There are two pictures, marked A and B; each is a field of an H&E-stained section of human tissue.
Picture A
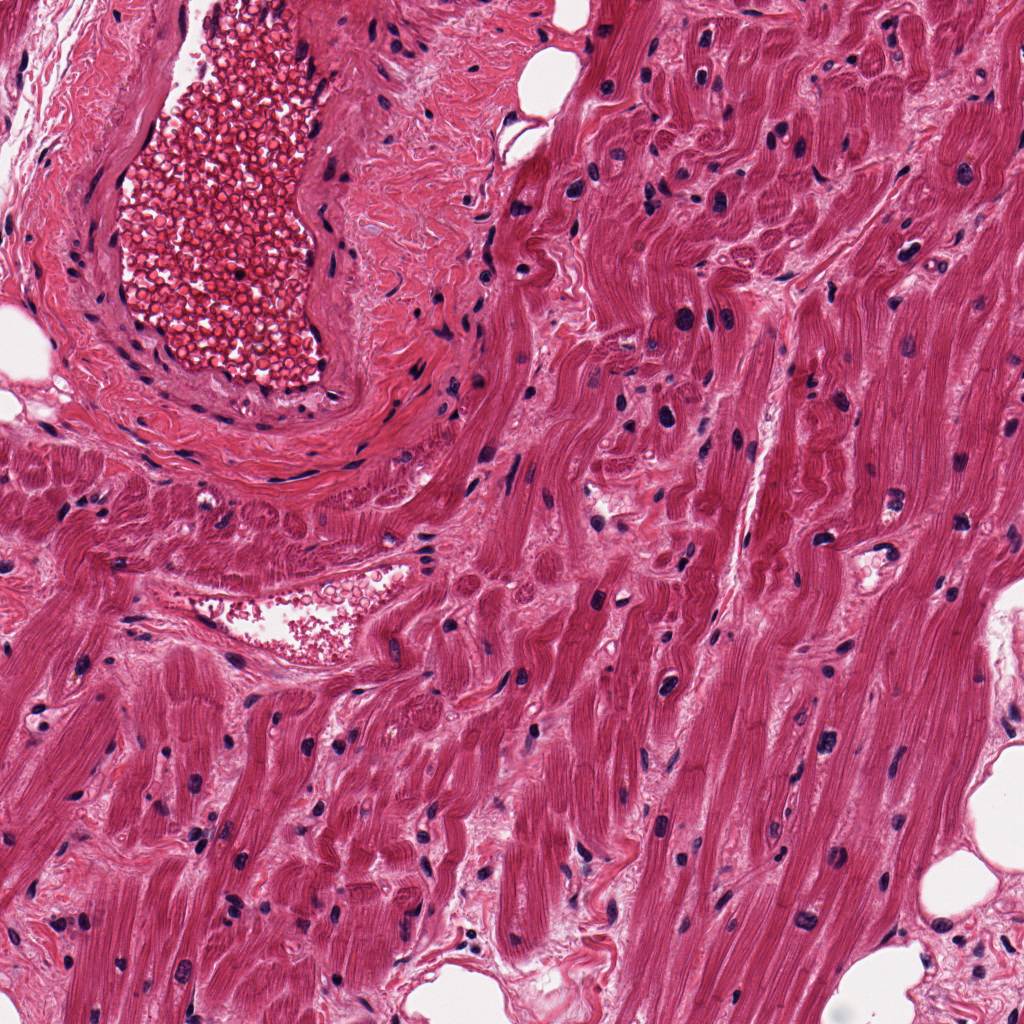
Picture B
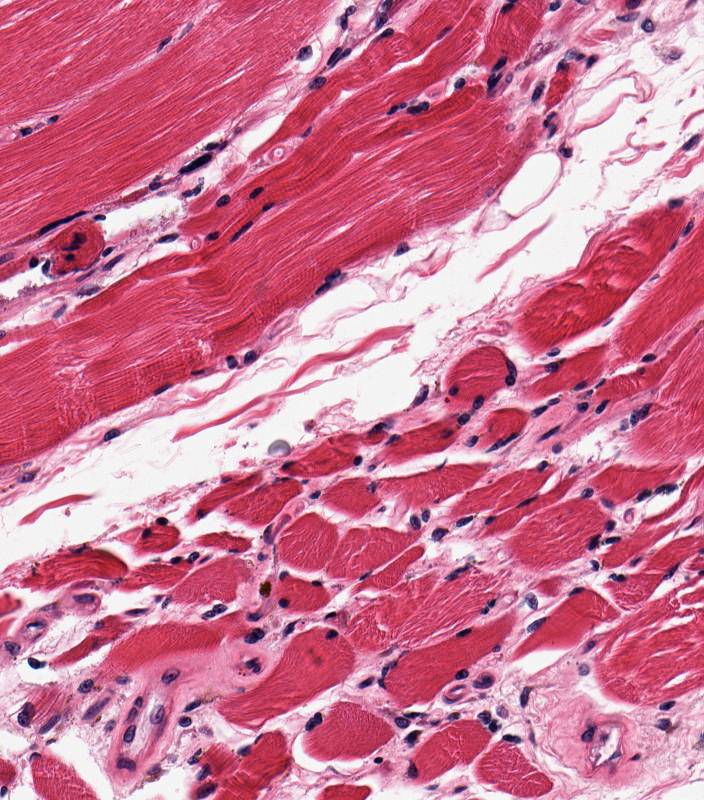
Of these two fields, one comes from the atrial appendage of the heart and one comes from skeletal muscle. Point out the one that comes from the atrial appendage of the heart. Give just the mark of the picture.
A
